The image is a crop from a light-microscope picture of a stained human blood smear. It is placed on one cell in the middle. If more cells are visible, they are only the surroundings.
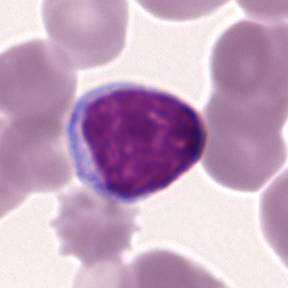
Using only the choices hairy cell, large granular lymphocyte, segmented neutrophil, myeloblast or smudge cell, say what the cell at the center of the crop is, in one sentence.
The centrally located cell in the crop is a large granular lymphocyte.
